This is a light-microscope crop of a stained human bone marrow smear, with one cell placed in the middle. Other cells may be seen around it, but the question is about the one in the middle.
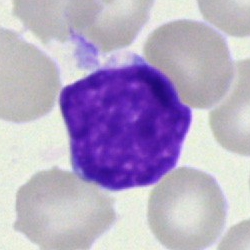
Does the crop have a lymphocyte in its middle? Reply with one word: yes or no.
no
